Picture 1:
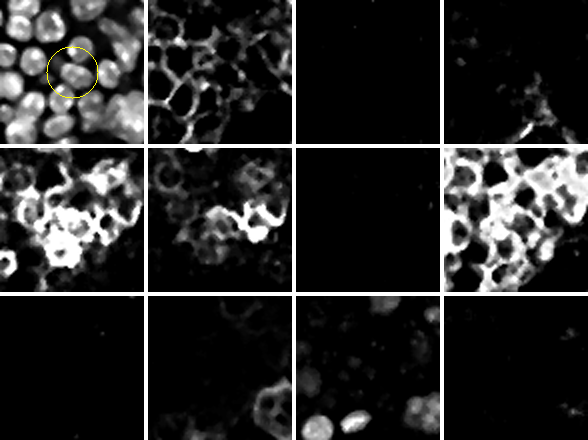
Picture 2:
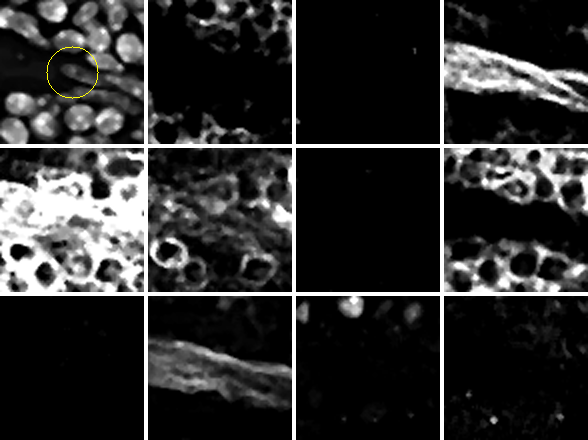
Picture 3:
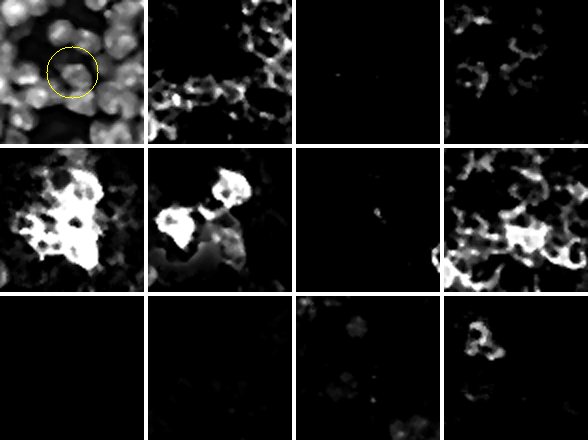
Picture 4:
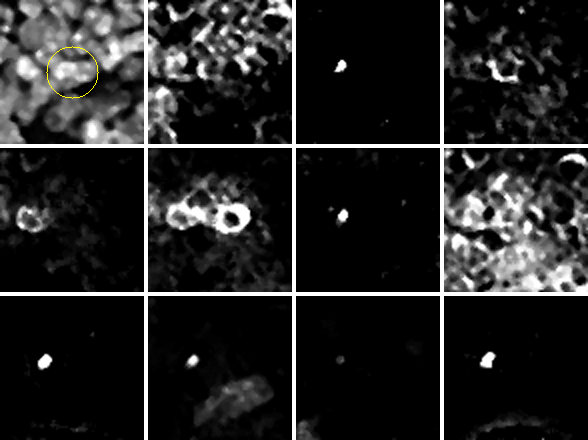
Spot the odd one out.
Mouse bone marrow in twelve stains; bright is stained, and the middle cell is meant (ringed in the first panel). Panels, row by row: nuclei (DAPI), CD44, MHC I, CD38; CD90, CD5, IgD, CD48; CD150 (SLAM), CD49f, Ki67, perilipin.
Picture 2 (a capillary endothelial cell among T cells).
